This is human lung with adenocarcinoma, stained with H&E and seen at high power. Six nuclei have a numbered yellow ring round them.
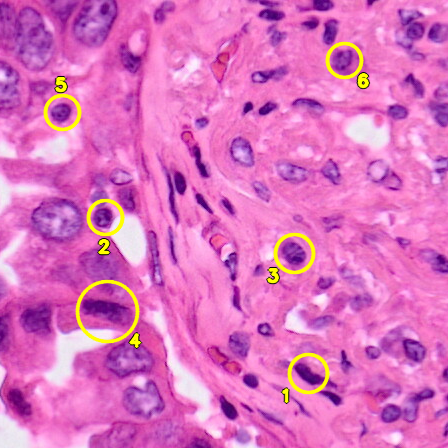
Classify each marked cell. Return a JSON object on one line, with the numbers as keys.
{"1": "plasma cell", "2": "lymphocyte", "3": "plasma cell", "4": "carcinoma cell", "5": "lymphocyte", "6": "plasma cell"}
